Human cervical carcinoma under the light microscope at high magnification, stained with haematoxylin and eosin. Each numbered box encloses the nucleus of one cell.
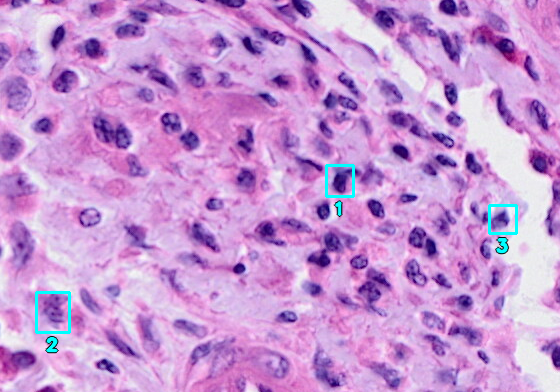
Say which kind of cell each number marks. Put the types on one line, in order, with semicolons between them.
lymphocyte; macrophage or monocyte; lymphocyte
